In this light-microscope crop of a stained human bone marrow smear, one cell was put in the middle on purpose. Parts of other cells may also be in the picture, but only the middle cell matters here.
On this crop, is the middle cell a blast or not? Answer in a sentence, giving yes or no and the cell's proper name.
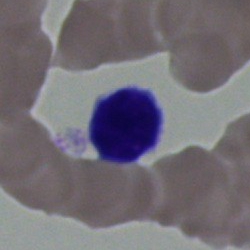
No, the centred cell is a lymphocyte, and it is not a blast.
